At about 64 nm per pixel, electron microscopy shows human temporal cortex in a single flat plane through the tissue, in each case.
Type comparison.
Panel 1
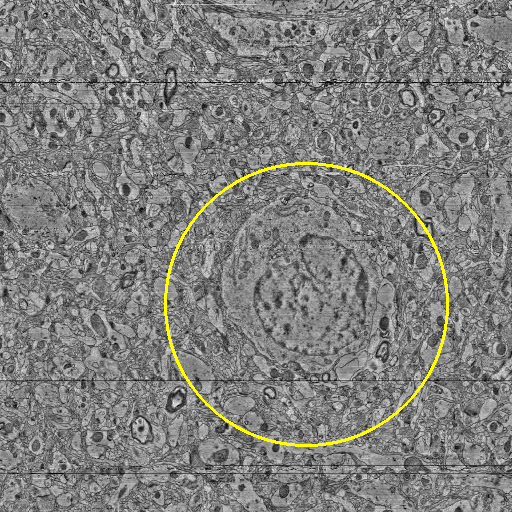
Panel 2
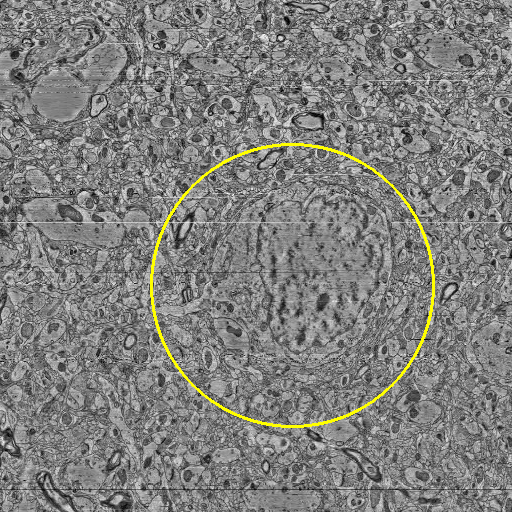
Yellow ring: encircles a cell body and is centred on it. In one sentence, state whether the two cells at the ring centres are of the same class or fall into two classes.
In these panels, the two cells at the ring centres are of the same class.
